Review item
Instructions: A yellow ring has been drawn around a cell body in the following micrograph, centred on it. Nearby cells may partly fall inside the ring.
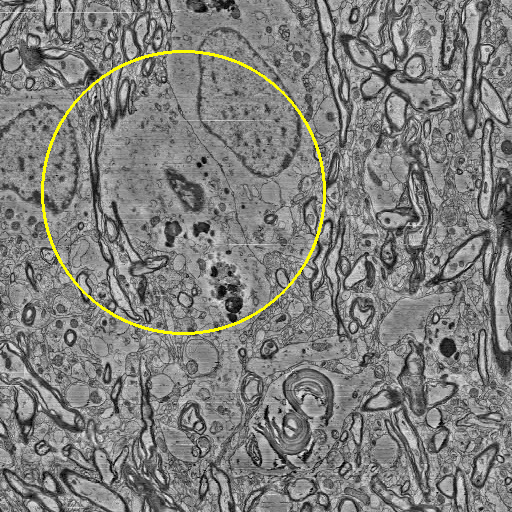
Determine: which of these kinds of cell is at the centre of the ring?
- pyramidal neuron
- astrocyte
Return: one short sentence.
The cell body in the middle of the ring is that of an astrocyte.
